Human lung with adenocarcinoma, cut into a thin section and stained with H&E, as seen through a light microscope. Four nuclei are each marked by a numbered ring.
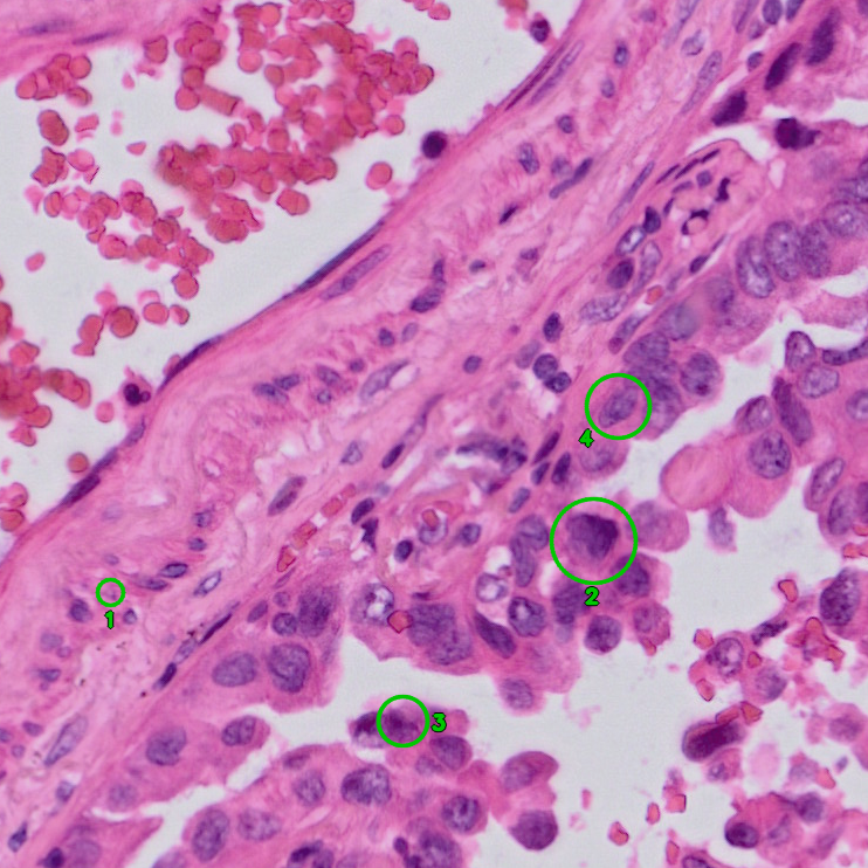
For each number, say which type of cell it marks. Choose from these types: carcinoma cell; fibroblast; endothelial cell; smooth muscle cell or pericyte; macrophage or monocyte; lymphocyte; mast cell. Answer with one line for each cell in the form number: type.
1: smooth muscle cell or pericyte
2: carcinoma cell
3: carcinoma cell
4: carcinoma cell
